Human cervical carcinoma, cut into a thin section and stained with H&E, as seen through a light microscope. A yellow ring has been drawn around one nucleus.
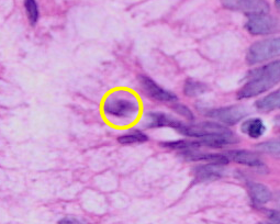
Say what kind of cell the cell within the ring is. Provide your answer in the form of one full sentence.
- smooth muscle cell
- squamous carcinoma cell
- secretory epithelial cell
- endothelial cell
In this section, the cell within the ring is a secretory epithelial cell.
